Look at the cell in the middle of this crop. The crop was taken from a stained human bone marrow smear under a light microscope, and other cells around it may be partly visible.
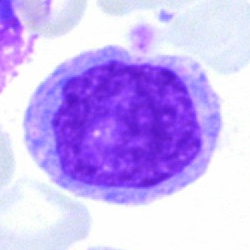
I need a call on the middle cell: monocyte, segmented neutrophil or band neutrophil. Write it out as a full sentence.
What sits at the centre of this crop is a monocyte.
